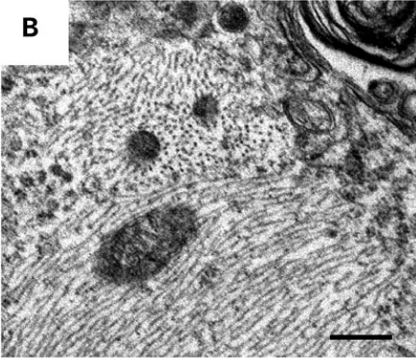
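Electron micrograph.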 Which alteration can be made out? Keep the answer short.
the inclusion is not membrane-bound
